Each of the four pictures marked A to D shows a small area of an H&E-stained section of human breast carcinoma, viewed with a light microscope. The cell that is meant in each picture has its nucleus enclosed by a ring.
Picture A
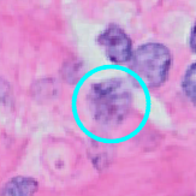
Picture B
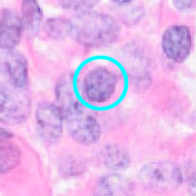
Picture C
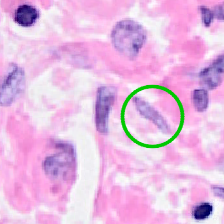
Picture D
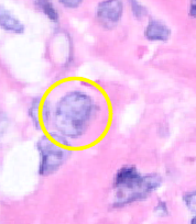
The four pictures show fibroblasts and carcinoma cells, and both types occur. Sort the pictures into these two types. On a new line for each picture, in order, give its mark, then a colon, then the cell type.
A: carcinoma cell
B: carcinoma cell
C: fibroblast
D: carcinoma cell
